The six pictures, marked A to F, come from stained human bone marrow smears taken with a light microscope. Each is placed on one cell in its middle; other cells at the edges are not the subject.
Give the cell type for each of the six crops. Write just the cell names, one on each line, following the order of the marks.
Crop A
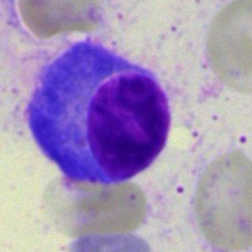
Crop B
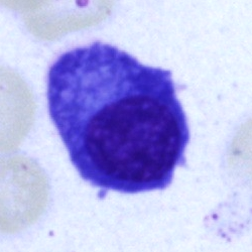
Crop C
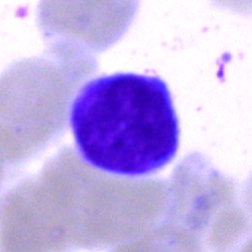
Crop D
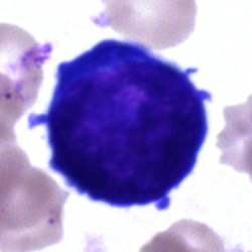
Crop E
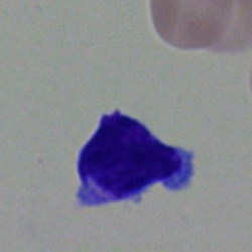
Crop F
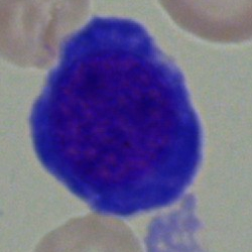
plasma cell
plasma cell
lymphocyte
proerythroblast
lymphocyte
proerythroblast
